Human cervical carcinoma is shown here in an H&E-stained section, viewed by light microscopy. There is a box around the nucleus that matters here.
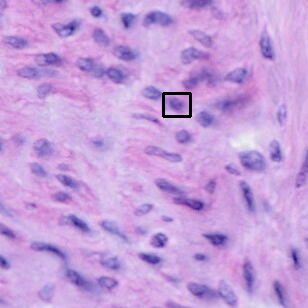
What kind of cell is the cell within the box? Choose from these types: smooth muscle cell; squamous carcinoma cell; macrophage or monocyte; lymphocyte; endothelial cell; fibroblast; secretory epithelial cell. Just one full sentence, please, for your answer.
In this section, the cell within the box is a smooth muscle cell.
